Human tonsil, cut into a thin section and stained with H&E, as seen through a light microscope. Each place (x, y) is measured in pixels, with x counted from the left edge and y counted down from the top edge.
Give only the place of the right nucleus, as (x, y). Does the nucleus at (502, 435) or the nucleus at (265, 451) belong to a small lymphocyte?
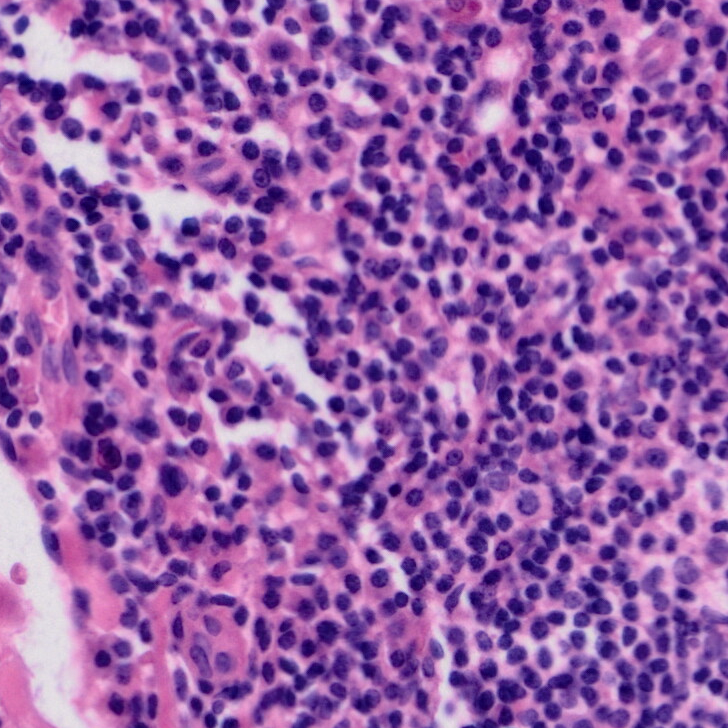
(502, 435)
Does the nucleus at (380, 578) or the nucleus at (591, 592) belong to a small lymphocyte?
(591, 592)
